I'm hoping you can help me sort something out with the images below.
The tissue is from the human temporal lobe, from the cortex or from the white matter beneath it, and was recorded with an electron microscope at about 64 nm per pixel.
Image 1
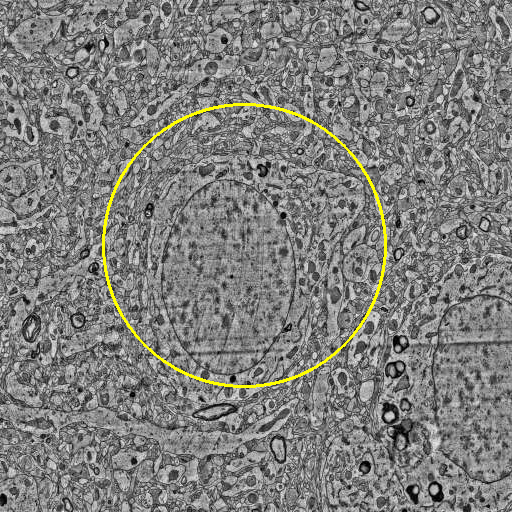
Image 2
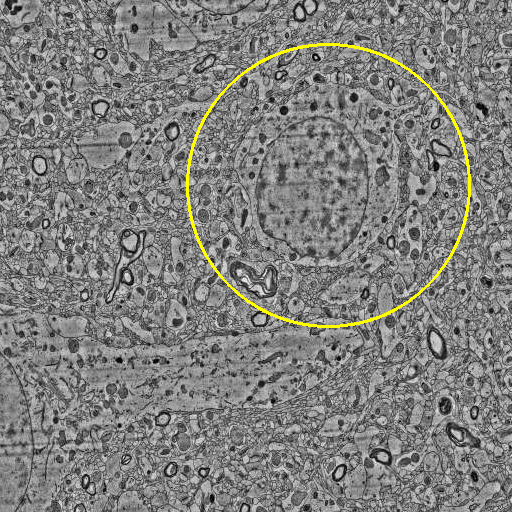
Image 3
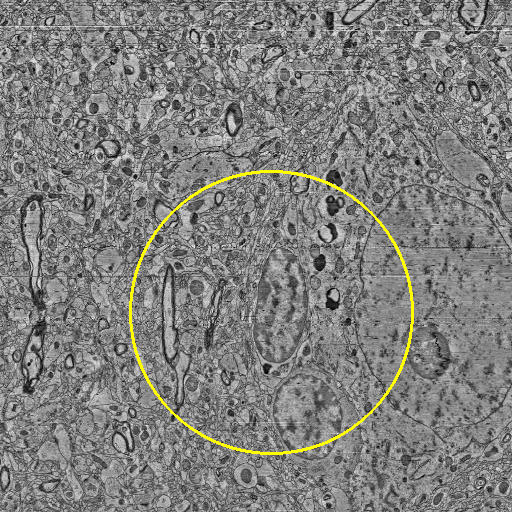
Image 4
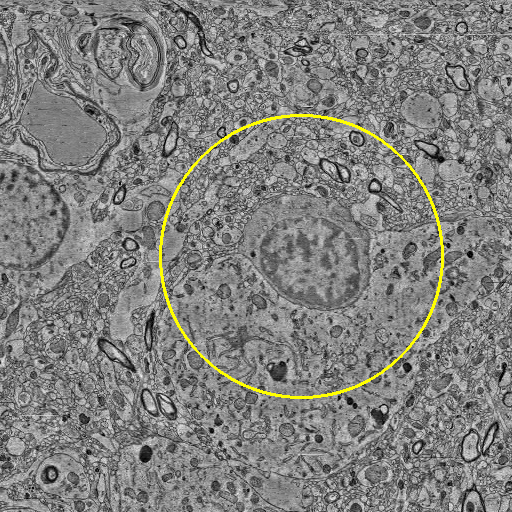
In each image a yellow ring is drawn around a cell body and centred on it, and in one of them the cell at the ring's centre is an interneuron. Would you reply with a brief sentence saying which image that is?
In Image 2, the cell at the centre of the ring is the one you asked about.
